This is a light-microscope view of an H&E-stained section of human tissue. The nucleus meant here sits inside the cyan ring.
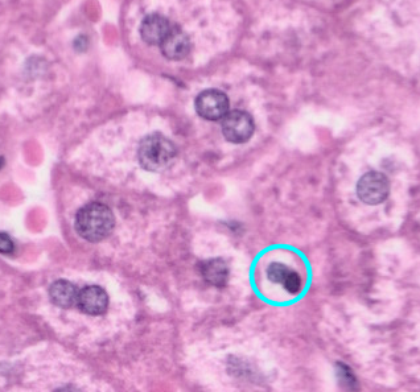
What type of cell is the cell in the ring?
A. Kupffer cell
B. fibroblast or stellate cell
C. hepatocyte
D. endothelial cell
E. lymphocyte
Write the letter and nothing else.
E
